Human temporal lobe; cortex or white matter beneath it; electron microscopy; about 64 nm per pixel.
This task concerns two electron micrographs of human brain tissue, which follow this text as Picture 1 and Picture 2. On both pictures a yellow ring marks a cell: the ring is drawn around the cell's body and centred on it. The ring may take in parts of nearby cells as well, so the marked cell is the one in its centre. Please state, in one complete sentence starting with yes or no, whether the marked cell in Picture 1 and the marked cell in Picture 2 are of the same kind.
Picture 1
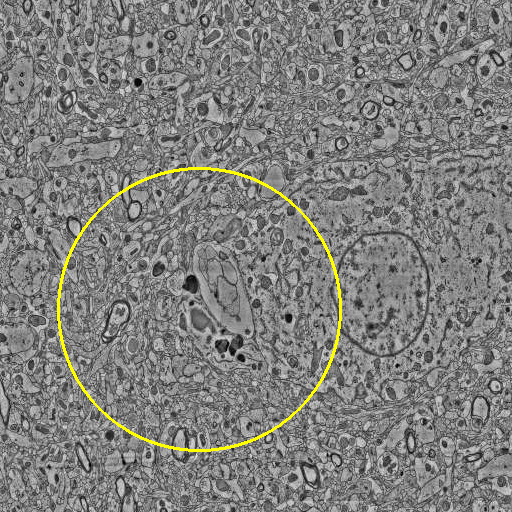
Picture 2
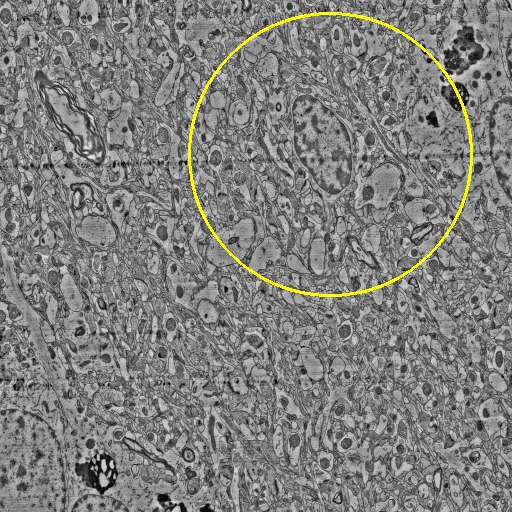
Yes, the marked cells in both pictures are of the same kind.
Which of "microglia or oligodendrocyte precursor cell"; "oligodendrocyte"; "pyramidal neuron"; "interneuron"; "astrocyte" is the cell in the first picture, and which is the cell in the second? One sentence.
Each of the two cells is a microglial cell or oligodendrocyte precursor cell.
